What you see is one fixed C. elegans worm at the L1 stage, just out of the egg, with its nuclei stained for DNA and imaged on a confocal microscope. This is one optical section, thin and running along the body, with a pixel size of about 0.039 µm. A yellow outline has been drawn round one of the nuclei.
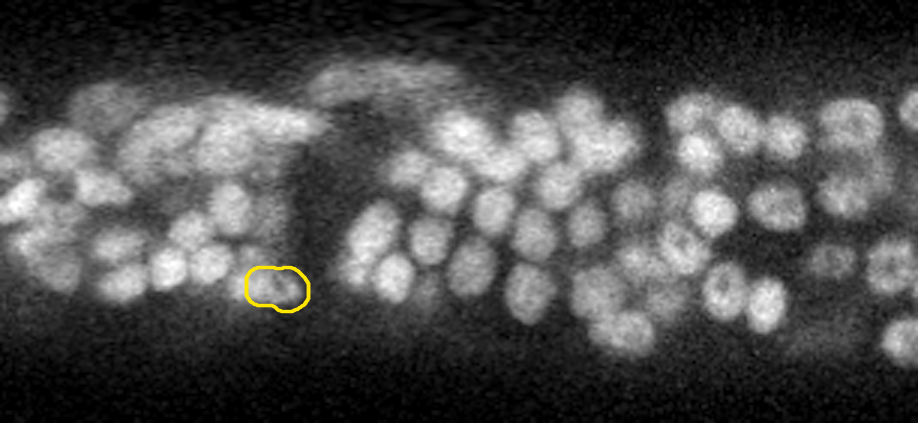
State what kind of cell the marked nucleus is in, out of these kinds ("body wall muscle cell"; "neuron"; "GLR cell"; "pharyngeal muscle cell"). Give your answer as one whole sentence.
This nucleus is from a body wall muscle cell.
